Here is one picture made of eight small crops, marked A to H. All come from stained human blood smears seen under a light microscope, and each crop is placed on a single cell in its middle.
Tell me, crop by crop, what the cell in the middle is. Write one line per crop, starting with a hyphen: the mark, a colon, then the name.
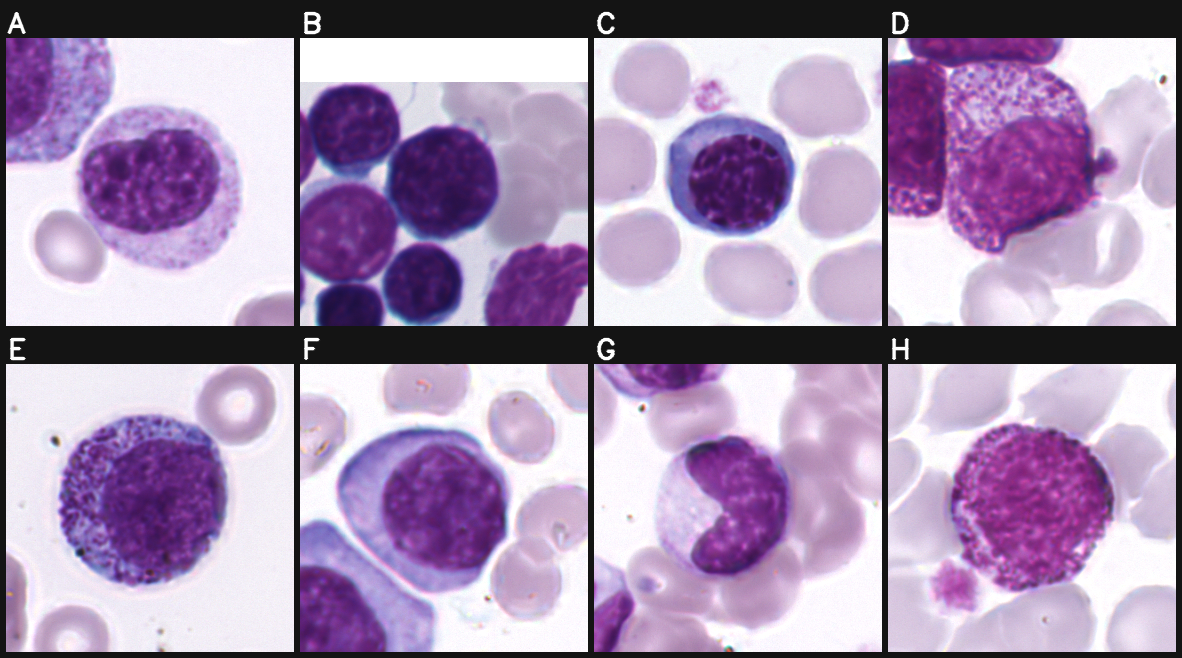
- A: metamyelocyte
- B: myeloblast
- C: normoblast
- D: myelocyte
- E: promyelocyte
- F: plasma cell
- G: metamyelocyte
- H: myelocyte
